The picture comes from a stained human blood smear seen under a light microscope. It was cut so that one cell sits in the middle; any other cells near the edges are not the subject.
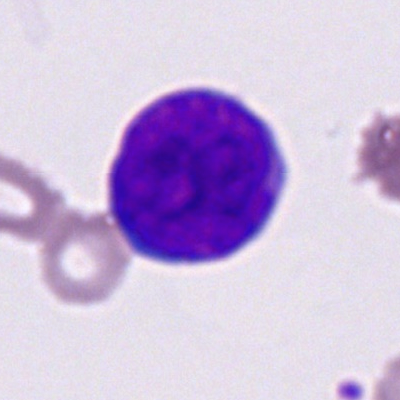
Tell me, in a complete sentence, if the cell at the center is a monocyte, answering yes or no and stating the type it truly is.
No, what is centred in the crop is not a monocyte but a myeloblast.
